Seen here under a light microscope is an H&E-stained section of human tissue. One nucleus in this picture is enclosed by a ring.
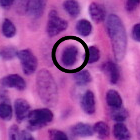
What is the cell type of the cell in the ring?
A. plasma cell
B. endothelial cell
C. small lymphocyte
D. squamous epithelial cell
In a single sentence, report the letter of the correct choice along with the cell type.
Option B is the one to take: the cell in the ring is an endothelial cell.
